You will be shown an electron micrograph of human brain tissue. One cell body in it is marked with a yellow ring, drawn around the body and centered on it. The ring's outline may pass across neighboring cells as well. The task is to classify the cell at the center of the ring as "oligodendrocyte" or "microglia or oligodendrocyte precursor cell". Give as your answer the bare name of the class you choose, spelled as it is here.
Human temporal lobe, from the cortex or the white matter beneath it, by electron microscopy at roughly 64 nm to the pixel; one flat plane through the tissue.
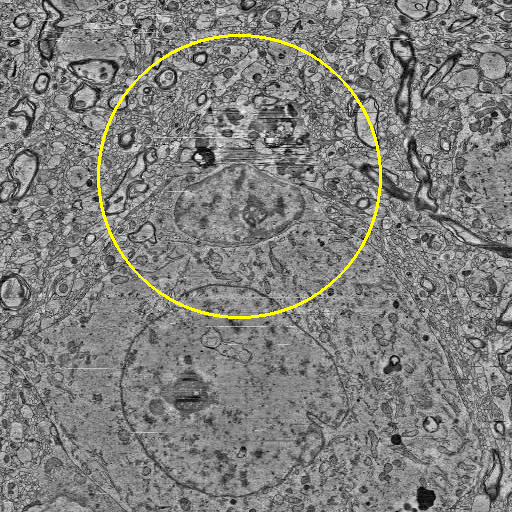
oligodendrocyte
